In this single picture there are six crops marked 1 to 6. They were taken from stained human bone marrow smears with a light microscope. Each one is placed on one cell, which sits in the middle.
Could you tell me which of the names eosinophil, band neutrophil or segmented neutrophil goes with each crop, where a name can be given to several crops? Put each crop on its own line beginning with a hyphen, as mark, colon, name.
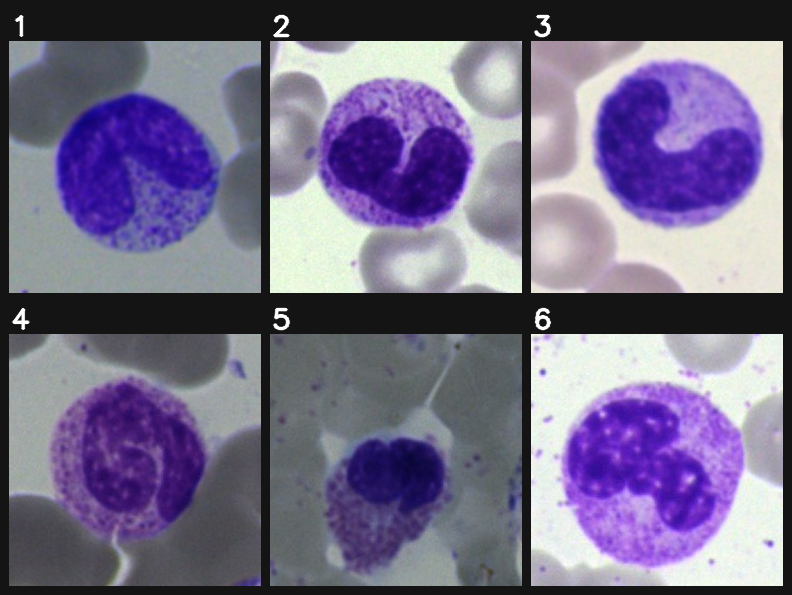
- 1: band neutrophil
- 2: band neutrophil
- 3: band neutrophil
- 4: band neutrophil
- 5: eosinophil
- 6: segmented neutrophil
